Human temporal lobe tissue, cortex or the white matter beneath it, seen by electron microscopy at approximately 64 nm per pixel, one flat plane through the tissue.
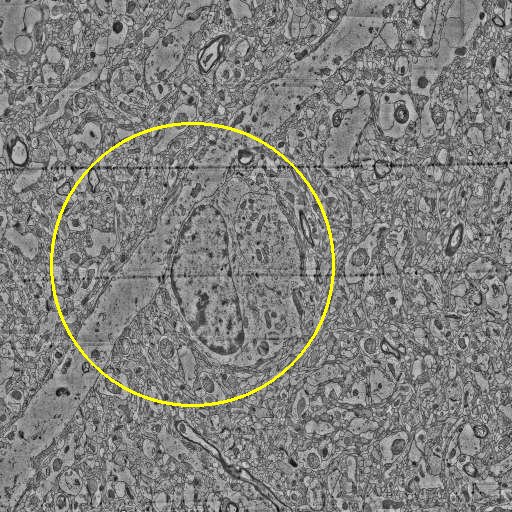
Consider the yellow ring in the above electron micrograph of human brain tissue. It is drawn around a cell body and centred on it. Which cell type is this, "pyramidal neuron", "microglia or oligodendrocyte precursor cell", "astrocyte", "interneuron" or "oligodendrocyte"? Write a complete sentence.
The cell in question is a microglial cell or oligodendrocyte precursor cell.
